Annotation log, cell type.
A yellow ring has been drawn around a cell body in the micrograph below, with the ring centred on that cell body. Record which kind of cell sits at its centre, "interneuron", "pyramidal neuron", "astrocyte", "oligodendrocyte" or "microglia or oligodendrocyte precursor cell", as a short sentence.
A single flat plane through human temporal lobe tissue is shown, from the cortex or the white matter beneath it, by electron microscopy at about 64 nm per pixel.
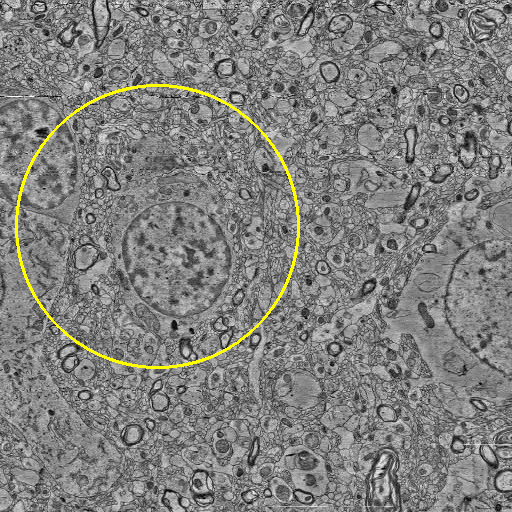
The cell at the centre of this ring is an oligodendrocyte.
